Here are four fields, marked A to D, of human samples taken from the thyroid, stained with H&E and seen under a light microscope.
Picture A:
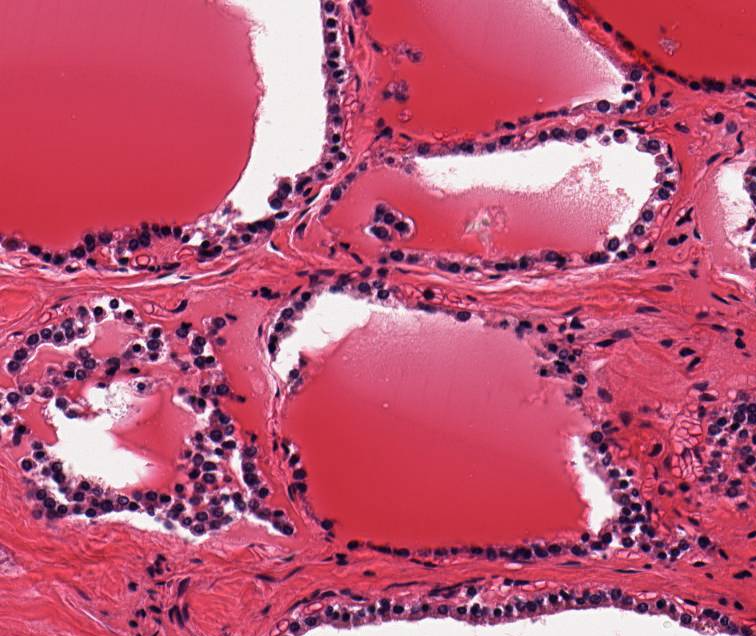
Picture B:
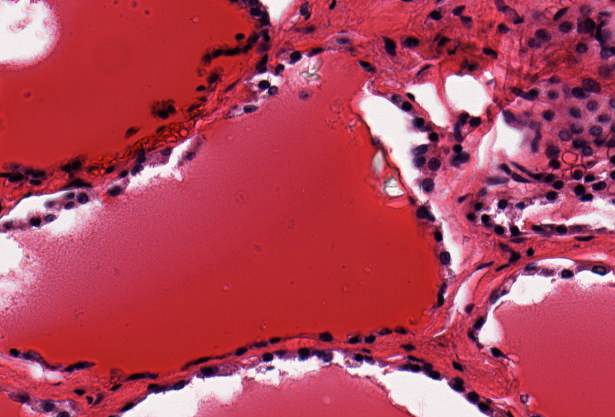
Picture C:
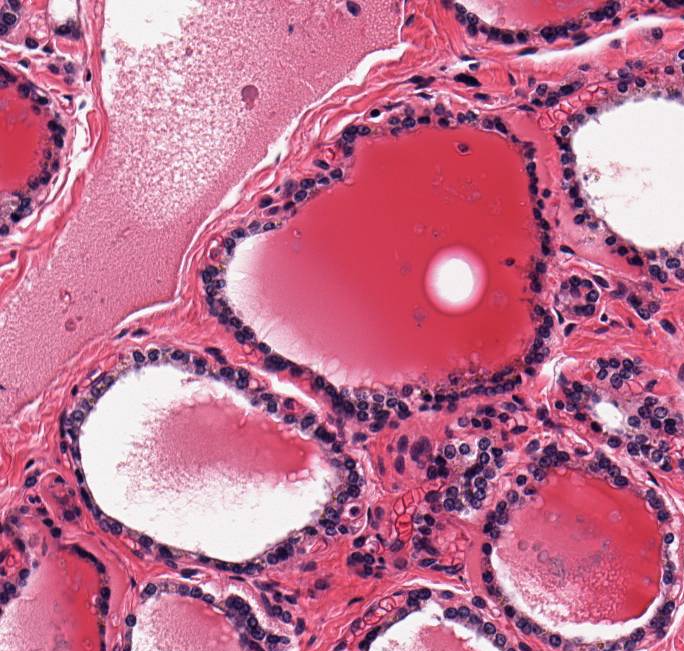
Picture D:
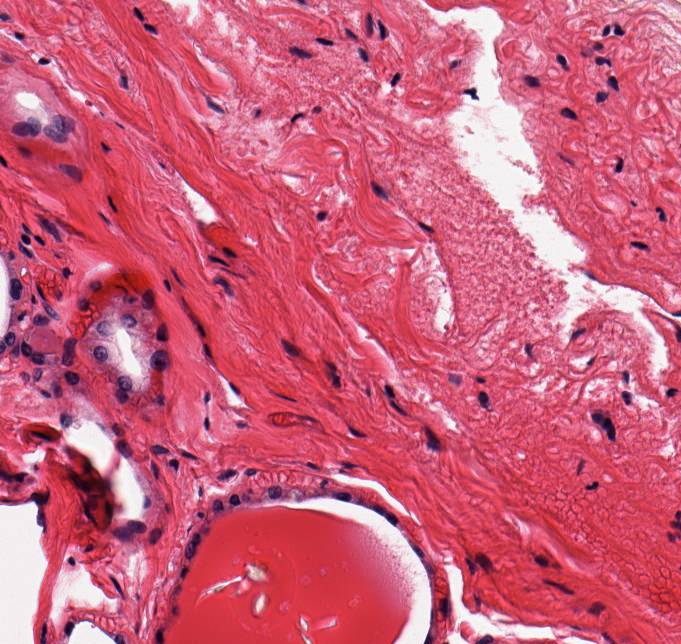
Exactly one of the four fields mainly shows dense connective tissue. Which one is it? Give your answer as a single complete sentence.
Picture D is the field that mainly shows dense connective tissue.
